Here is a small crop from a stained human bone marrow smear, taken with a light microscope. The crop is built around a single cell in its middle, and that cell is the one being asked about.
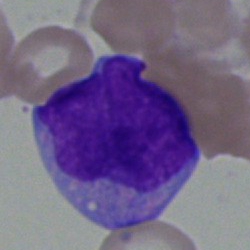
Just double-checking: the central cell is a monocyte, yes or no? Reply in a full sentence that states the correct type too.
No, what lies at the heart of the crop is a blast, not a monocyte.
